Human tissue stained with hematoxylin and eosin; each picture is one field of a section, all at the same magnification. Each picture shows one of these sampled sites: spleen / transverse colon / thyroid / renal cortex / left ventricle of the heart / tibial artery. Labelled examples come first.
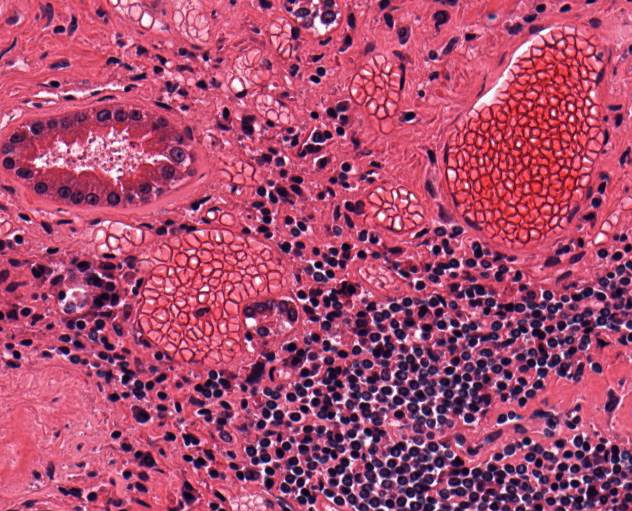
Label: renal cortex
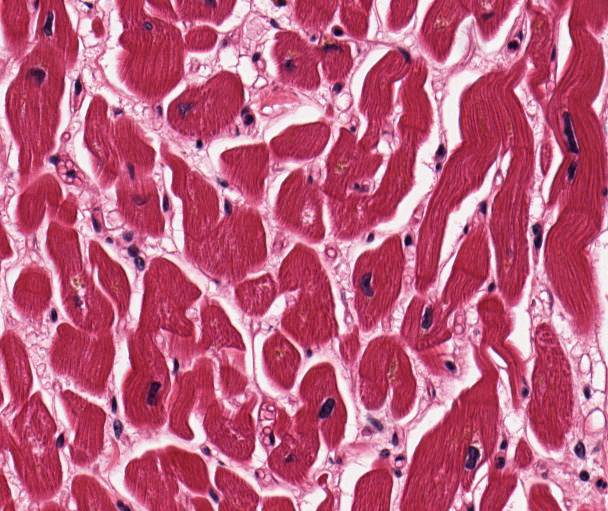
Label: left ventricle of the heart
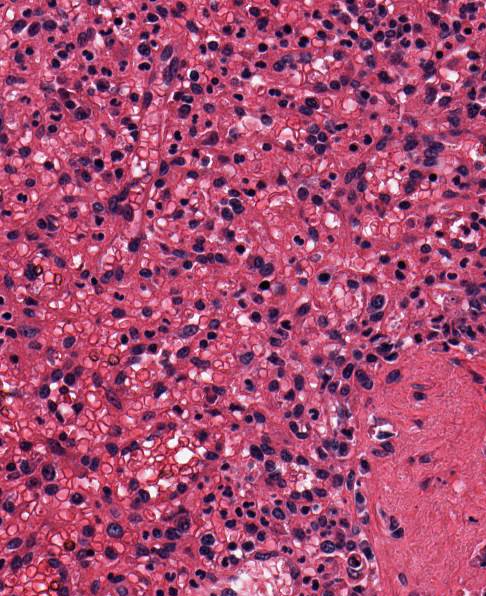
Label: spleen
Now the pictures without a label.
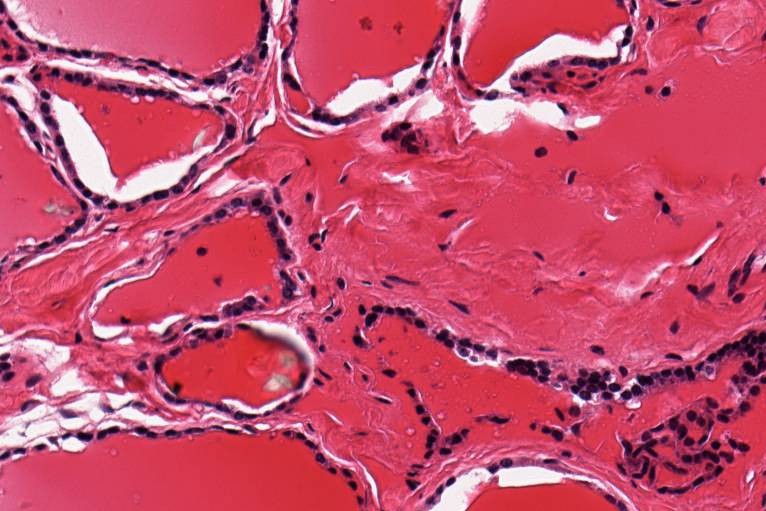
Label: thyroid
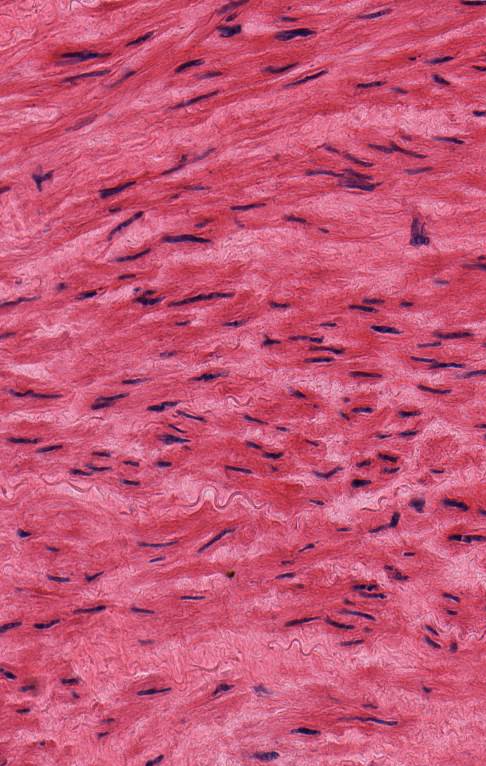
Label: tibial artery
